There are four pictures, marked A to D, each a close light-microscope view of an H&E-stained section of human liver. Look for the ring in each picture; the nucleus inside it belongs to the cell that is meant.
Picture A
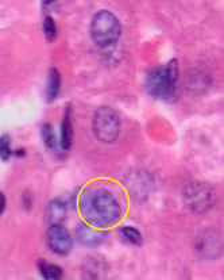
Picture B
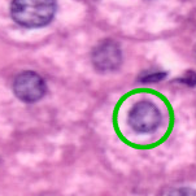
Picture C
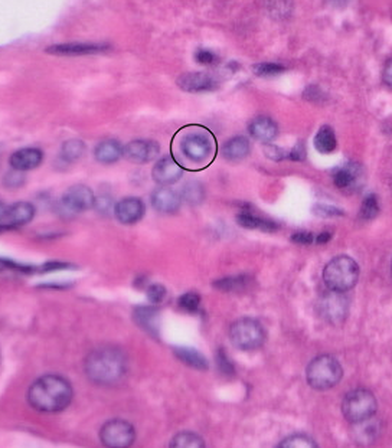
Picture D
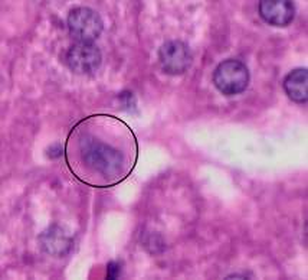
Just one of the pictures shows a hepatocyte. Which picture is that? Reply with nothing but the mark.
B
